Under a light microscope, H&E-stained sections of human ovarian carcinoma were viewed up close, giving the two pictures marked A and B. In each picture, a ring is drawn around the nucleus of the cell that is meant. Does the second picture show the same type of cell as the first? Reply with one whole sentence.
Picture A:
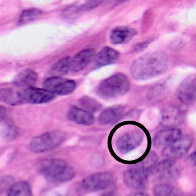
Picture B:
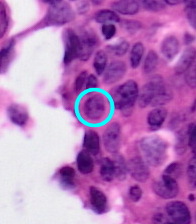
No, they differ: the cell is a “macrophage or monocyte” in picture A and a carcinoma cell in picture B.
